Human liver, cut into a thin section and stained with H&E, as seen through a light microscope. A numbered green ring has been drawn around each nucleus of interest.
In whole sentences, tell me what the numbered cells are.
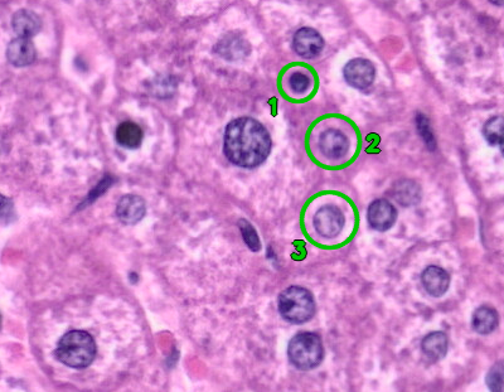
Cell 1 is a lymphocyte, cell 2 is a hepatocyte and cell 3 is a hepatocyte.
